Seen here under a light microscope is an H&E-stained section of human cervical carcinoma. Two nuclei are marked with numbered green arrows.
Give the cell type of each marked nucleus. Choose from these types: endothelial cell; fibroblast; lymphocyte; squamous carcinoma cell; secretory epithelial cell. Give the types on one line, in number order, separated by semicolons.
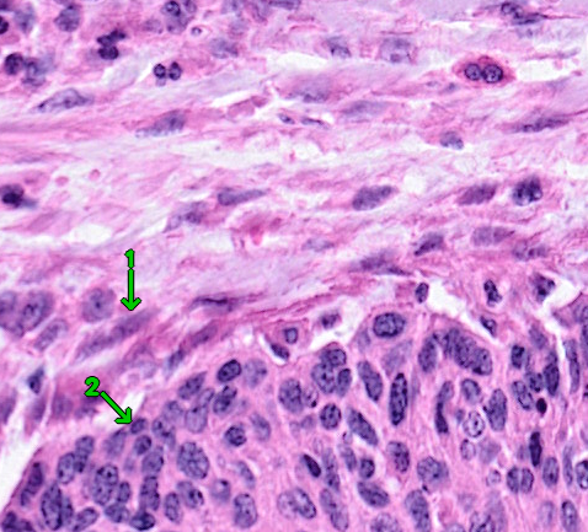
fibroblast; squamous carcinoma cell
